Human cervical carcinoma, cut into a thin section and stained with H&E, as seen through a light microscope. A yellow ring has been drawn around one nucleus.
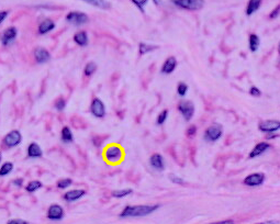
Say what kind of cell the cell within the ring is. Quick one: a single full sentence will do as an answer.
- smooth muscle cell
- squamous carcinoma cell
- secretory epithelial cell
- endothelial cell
The correct response here is that the cell within the ring is a smooth muscle cell.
